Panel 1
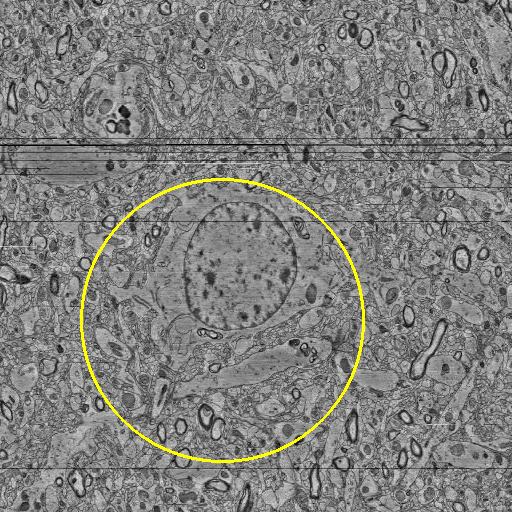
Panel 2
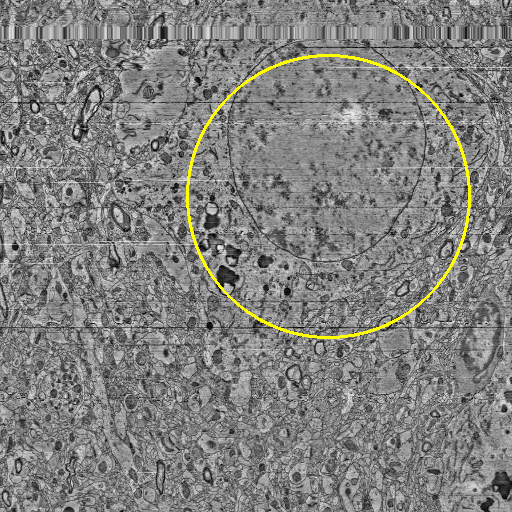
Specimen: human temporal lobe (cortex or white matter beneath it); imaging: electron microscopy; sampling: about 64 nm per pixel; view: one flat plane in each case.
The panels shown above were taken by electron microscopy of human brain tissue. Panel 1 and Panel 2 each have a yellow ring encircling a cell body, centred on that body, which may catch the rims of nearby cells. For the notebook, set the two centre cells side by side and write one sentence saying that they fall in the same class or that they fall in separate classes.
The centred cells of Panel 1 and Panel 2 fall in separate classes.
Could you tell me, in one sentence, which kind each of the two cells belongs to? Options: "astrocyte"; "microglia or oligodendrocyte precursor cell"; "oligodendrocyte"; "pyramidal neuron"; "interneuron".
At the centre of the first ring sits an astrocyte, and at the centre of the second sits a pyramidal neuron.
